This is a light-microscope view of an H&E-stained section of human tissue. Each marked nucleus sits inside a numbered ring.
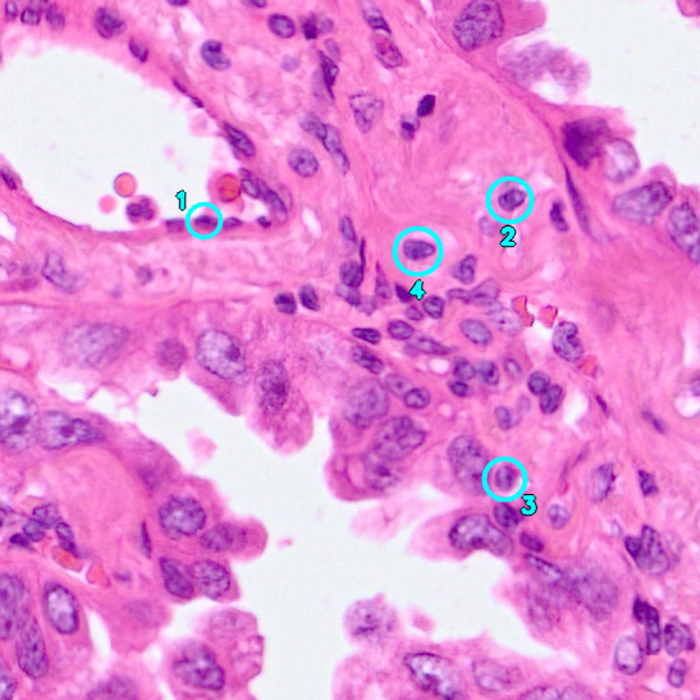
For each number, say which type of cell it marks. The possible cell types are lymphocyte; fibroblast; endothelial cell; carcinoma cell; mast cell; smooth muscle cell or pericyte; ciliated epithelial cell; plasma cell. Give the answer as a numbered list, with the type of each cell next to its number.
1. endothelial cell
2. lymphocyte
3. lymphocyte
4. lymphocyte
